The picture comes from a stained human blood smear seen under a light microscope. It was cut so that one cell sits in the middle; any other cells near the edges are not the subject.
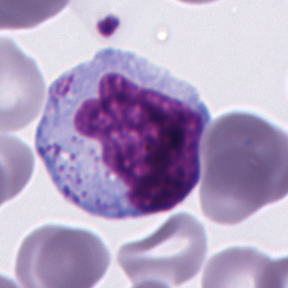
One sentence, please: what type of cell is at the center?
The central element of this crop is a cell, namely a large granular lymphocyte.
